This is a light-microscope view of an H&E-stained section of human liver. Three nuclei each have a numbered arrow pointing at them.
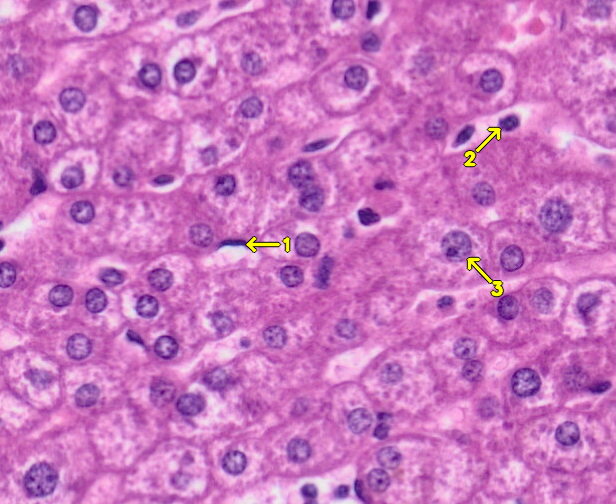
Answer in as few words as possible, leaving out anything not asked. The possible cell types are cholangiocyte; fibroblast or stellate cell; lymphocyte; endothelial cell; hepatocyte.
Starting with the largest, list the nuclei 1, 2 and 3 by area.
3, 2, 1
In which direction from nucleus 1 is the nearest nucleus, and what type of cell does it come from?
a hepatocyte, to the left of nucleus 1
